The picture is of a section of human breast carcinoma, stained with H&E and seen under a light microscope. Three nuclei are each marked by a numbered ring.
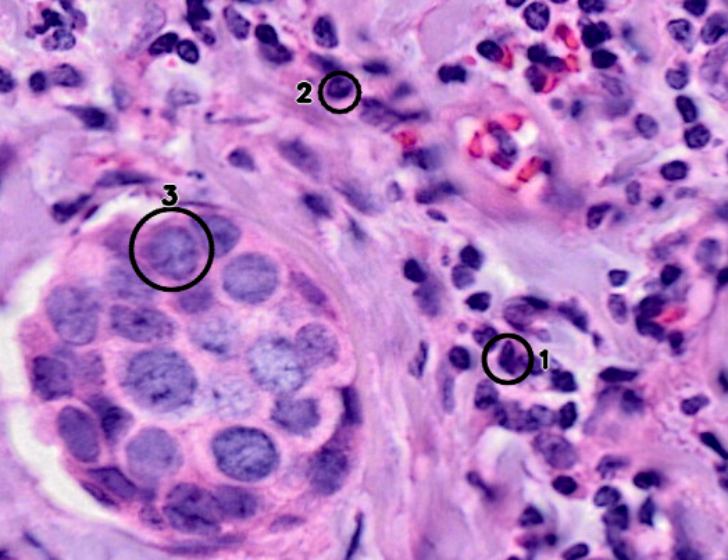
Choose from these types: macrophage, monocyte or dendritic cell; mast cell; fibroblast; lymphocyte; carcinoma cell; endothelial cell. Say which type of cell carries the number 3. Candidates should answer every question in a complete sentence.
The nucleus marked 3 is the nucleus of a carcinoma cell.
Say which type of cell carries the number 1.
The cell that bears the number 1 is a lymphocyte.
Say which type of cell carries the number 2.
It is as a lymphocyte that the cell numbered 2 is identified.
